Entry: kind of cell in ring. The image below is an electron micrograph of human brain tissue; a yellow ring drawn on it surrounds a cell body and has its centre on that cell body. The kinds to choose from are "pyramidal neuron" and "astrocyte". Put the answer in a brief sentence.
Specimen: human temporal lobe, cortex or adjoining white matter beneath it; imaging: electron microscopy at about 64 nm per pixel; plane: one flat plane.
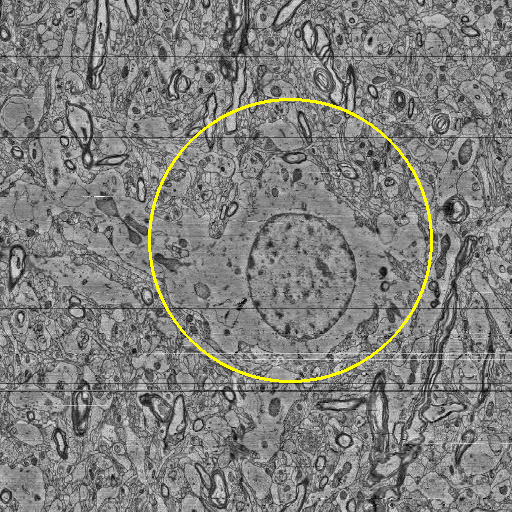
The ring has been drawn around an astrocyte.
